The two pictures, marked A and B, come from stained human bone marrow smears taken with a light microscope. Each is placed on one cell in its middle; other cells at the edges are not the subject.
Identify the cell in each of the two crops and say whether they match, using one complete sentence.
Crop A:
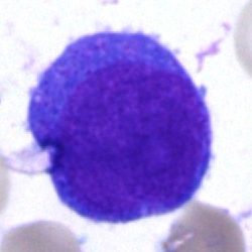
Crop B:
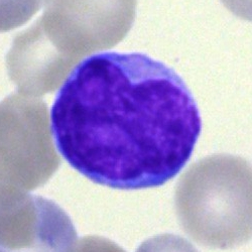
Yes, the cells in the centres of the two crops are blasts.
